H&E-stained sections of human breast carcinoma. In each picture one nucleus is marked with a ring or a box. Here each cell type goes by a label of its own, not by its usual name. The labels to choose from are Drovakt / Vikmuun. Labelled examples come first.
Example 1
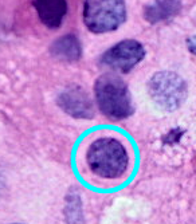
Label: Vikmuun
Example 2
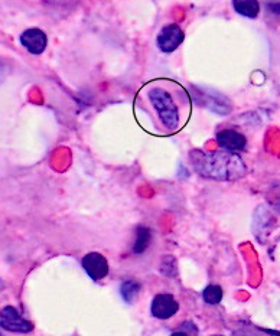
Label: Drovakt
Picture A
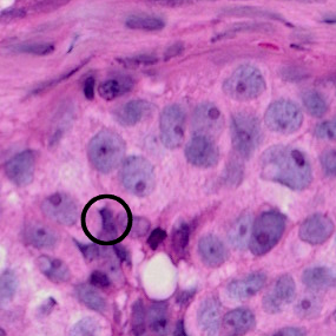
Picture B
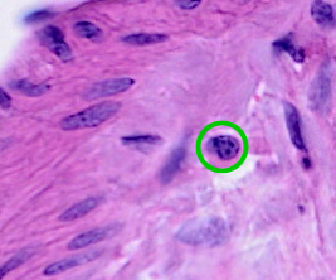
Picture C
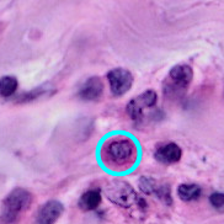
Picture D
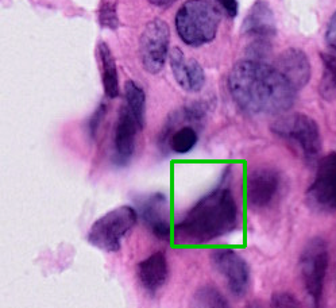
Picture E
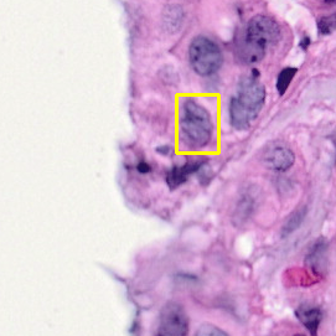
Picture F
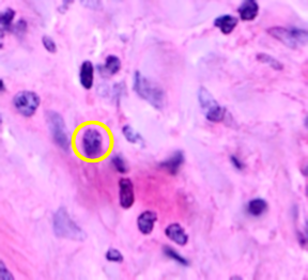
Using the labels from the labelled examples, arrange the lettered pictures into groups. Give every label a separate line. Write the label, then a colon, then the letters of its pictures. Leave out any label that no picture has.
Drovakt: B, C, F
Vikmuun: A, D, E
